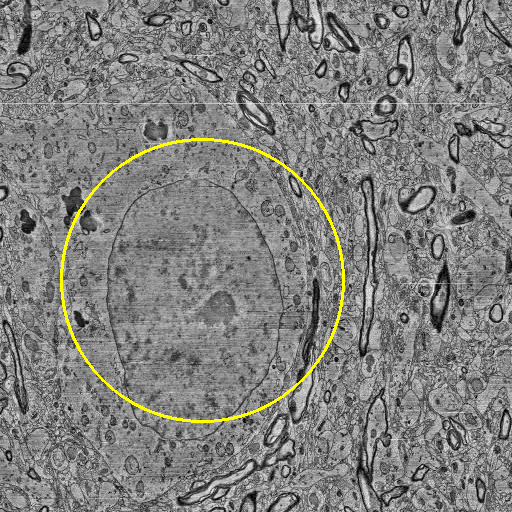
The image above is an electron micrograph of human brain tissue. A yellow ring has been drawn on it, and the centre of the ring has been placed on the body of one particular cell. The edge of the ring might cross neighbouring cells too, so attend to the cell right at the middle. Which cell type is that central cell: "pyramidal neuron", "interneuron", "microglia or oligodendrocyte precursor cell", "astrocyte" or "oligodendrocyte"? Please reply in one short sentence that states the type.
The central cell in the ring is a pyramidal neuron.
